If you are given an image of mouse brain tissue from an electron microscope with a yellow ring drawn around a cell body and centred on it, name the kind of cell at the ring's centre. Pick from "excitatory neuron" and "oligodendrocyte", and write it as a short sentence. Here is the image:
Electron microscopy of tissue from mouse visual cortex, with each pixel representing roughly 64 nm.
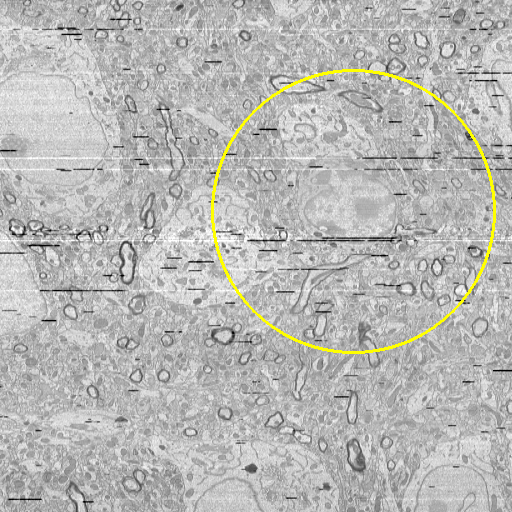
The cell at the ring's centre is an oligodendrocyte.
